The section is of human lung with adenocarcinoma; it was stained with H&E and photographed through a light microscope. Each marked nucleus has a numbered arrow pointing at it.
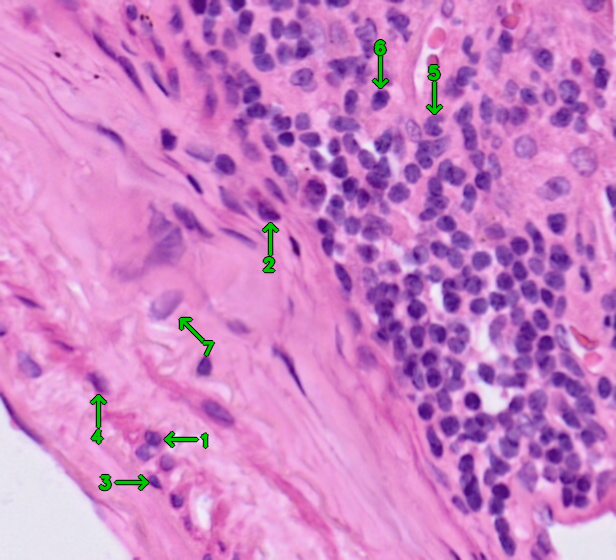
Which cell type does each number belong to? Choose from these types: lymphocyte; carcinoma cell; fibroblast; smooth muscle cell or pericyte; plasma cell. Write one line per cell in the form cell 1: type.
cell 1: smooth muscle cell or pericyte
cell 2: plasma cell
cell 3: smooth muscle cell or pericyte
cell 4: smooth muscle cell or pericyte
cell 5: lymphocyte
cell 6: lymphocyte
cell 7: fibroblast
